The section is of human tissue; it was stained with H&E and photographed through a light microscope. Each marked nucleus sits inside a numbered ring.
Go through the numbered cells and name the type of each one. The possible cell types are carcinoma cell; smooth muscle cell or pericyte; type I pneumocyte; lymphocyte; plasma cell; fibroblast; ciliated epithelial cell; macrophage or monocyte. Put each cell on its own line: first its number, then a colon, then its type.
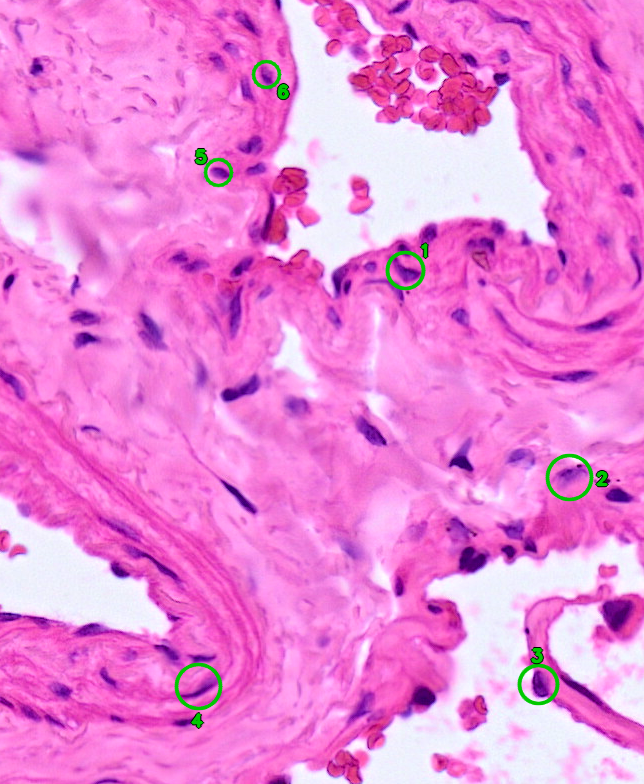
1: smooth muscle cell or pericyte
2: fibroblast
3: type I pneumocyte
4: smooth muscle cell or pericyte
5: smooth muscle cell or pericyte
6: smooth muscle cell or pericyte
